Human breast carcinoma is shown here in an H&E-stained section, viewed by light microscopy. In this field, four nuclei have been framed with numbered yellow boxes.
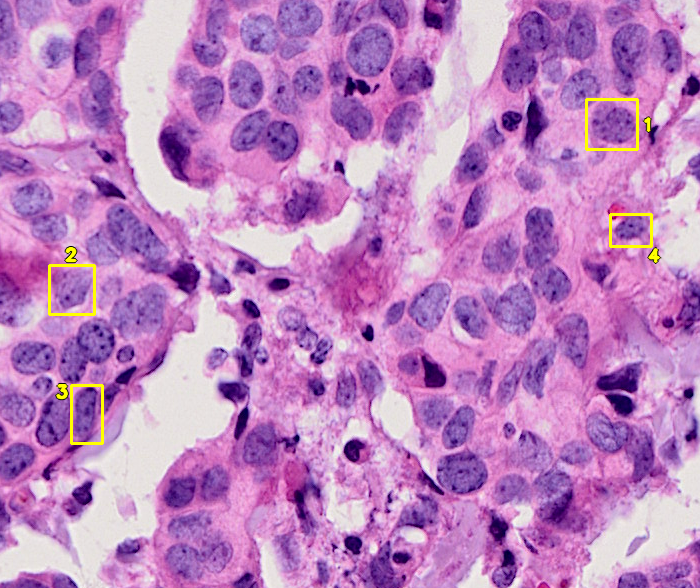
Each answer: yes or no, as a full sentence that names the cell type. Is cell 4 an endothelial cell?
Yes, the cell at number 4 is an endothelial cell.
